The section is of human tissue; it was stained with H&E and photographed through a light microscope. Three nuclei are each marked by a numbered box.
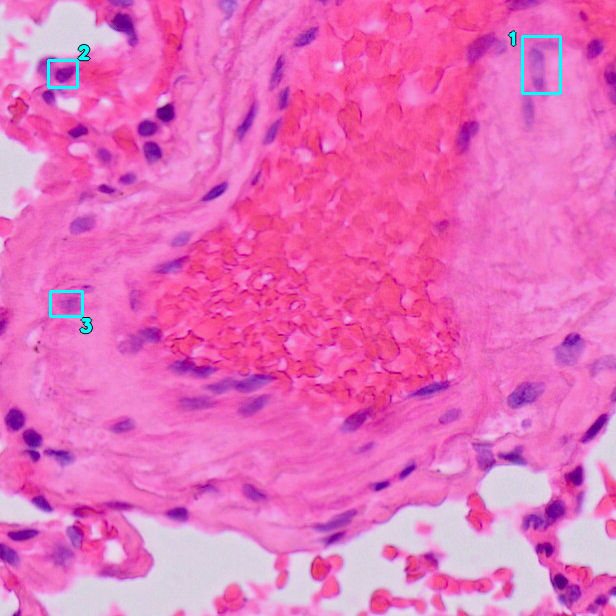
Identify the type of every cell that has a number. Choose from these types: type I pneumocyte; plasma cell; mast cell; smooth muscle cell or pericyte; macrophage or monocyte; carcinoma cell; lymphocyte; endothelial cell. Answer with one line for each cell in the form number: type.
1: smooth muscle cell or pericyte
2: type I pneumocyte
3: smooth muscle cell or pericyte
